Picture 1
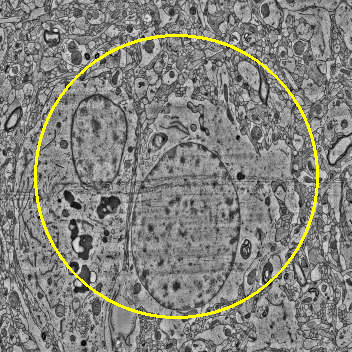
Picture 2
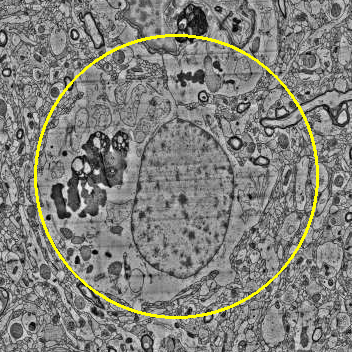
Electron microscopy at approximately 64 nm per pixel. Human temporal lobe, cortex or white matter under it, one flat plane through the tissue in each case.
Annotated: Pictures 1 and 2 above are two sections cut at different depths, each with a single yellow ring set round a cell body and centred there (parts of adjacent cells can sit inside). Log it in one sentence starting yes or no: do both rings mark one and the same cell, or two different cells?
No, two cells, not one, are marked by the yellow rings.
